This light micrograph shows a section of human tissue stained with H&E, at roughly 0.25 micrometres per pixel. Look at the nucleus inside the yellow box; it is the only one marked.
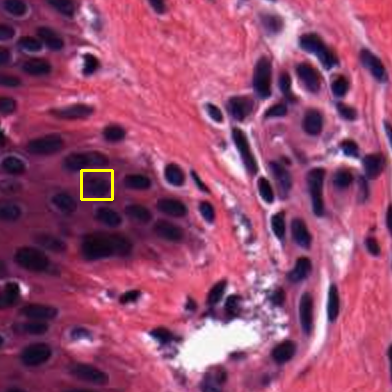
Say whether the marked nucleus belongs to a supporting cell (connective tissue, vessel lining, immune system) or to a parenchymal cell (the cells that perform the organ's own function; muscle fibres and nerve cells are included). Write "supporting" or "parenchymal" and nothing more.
parenchymal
